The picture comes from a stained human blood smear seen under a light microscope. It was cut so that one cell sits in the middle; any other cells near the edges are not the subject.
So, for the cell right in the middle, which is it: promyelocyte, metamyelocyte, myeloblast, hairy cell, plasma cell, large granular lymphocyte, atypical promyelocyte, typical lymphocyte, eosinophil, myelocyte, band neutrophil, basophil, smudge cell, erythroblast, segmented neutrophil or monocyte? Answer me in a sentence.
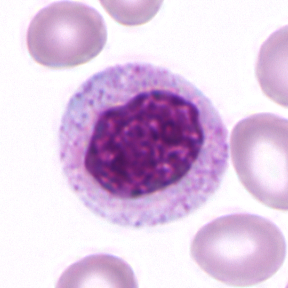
The middle position in this crop is taken by a metamyelocyte.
